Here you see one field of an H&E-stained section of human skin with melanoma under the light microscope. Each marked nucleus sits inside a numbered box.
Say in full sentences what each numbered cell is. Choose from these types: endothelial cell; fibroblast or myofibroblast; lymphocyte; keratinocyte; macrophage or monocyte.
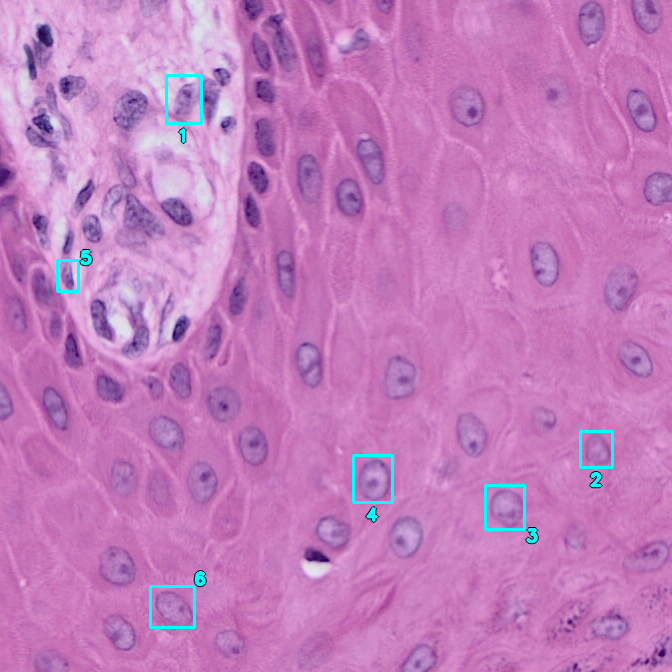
Cells 1 and 5 are fibroblasts or myofibroblasts. Cells 2, 3, 4 and 6 are keratinocytes.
